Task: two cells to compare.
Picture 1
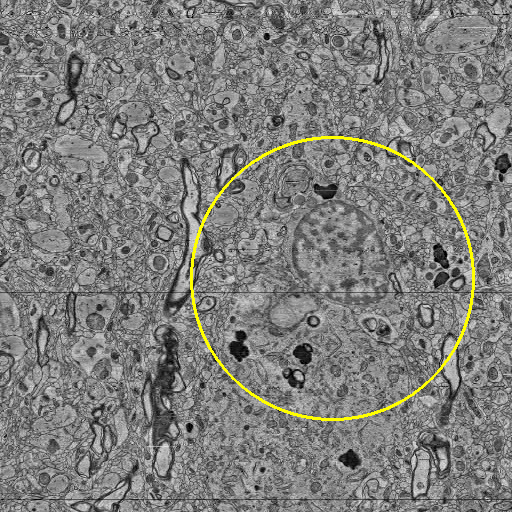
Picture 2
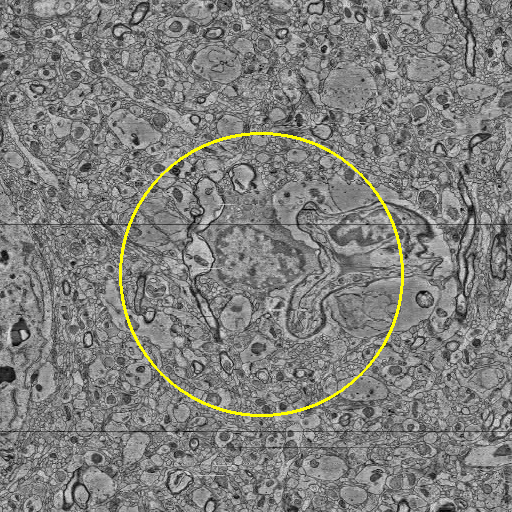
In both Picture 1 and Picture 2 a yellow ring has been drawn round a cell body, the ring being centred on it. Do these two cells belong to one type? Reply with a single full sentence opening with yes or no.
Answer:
Yes, the two cells at the ring centres in Picture 1 and Picture 2 share one type.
